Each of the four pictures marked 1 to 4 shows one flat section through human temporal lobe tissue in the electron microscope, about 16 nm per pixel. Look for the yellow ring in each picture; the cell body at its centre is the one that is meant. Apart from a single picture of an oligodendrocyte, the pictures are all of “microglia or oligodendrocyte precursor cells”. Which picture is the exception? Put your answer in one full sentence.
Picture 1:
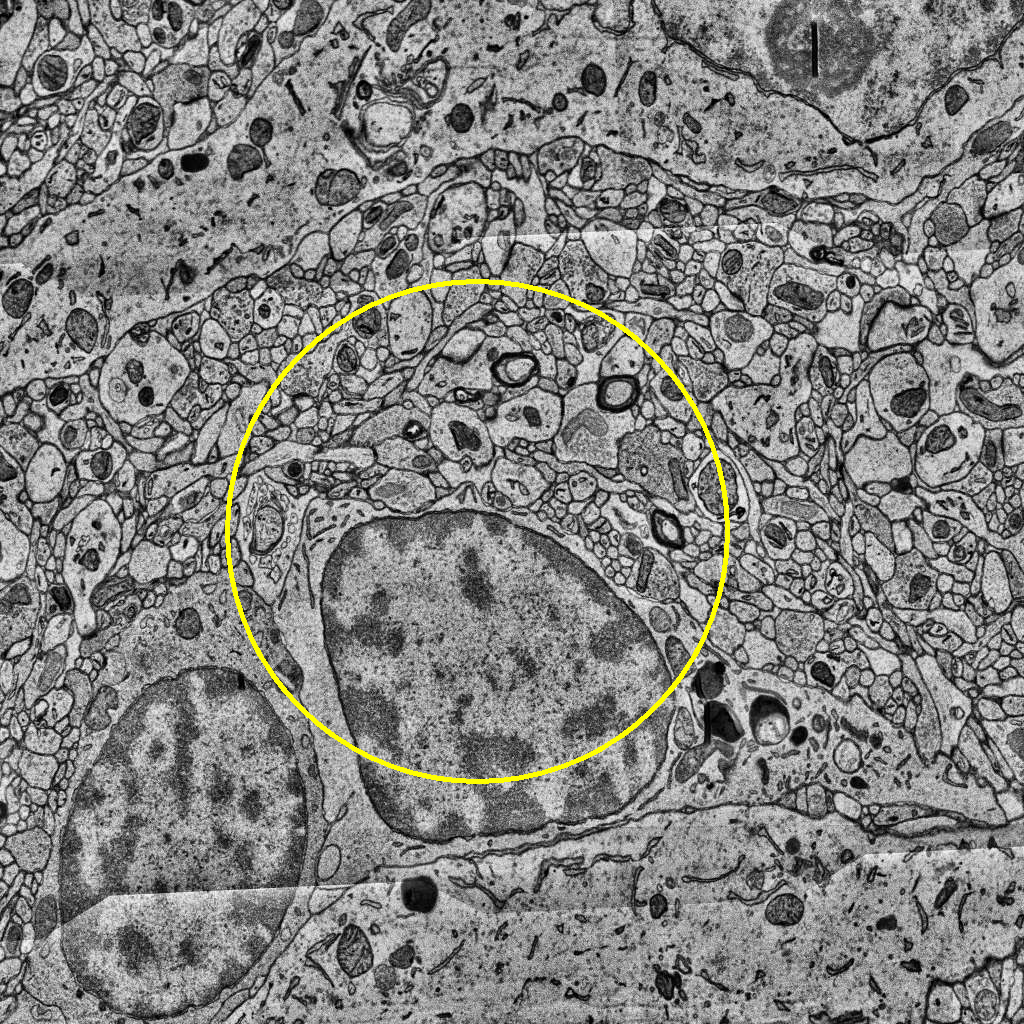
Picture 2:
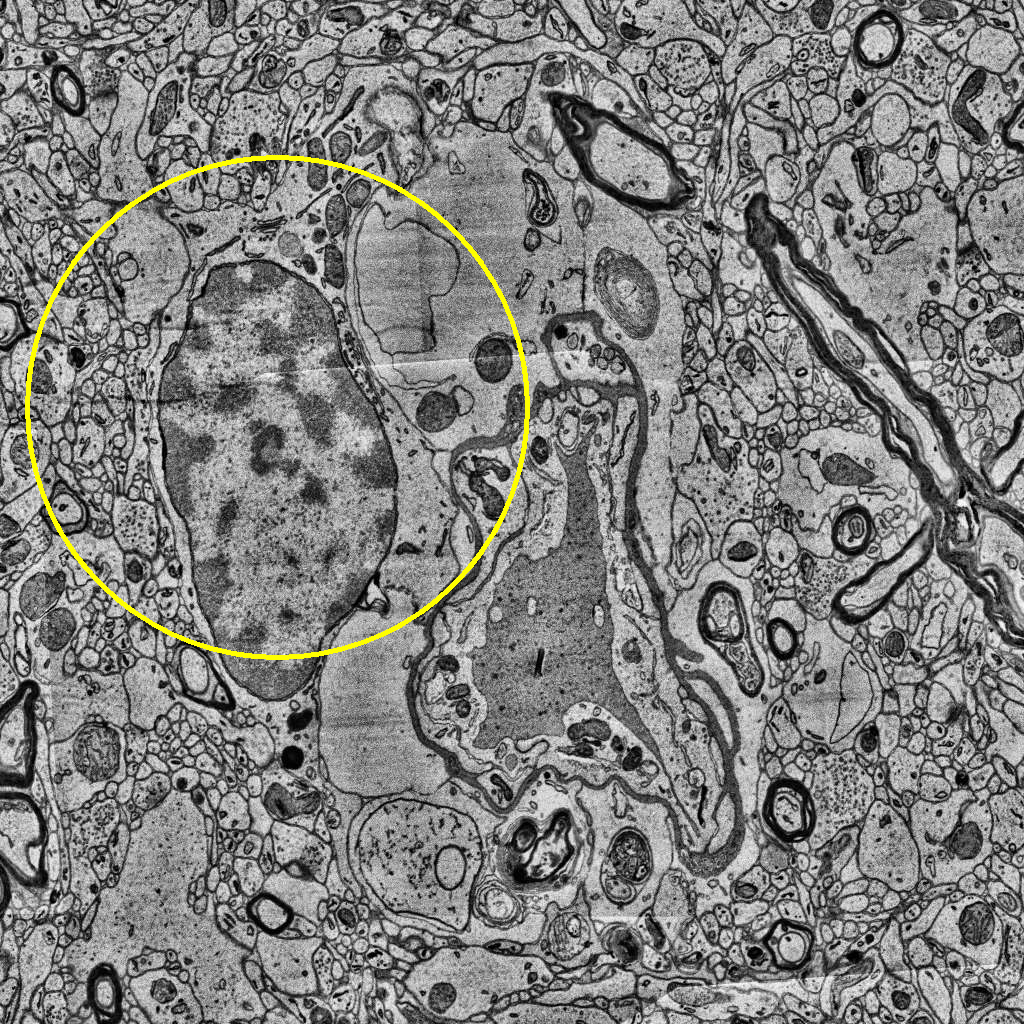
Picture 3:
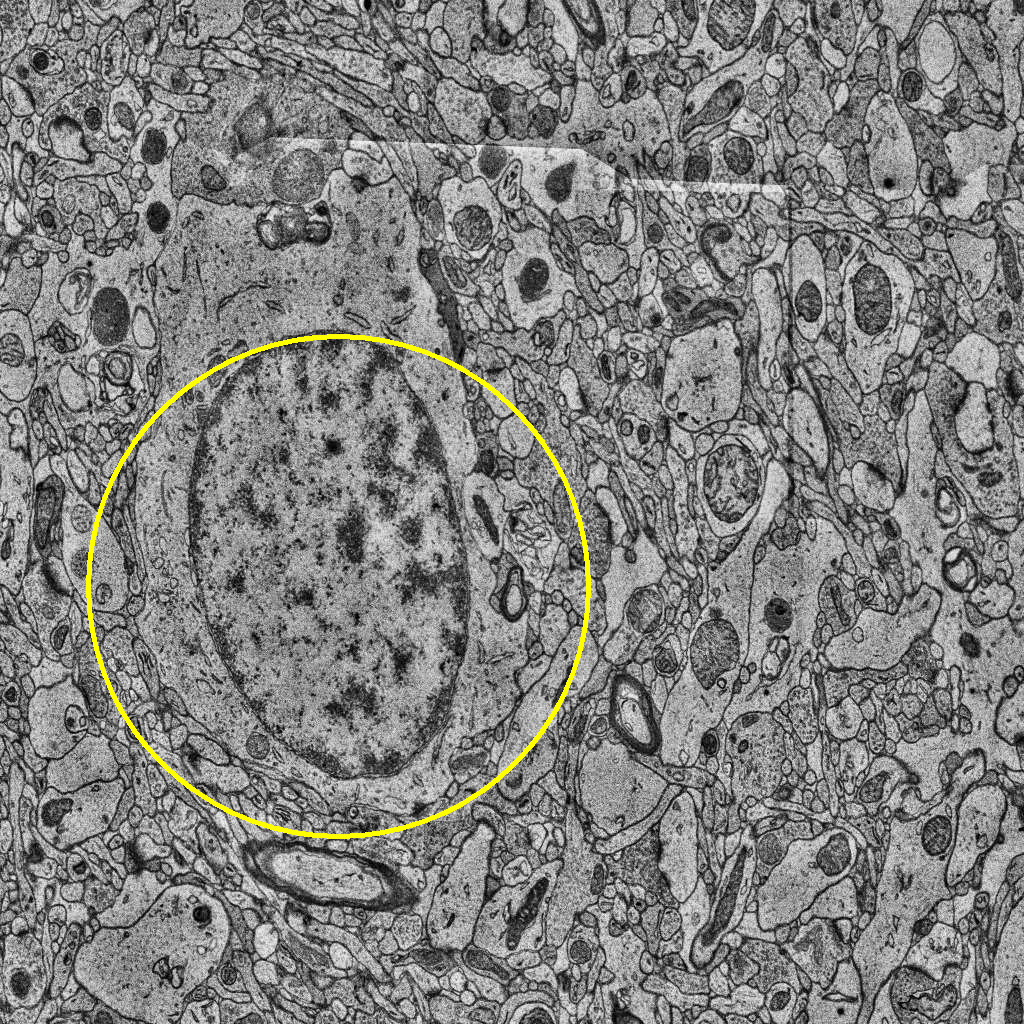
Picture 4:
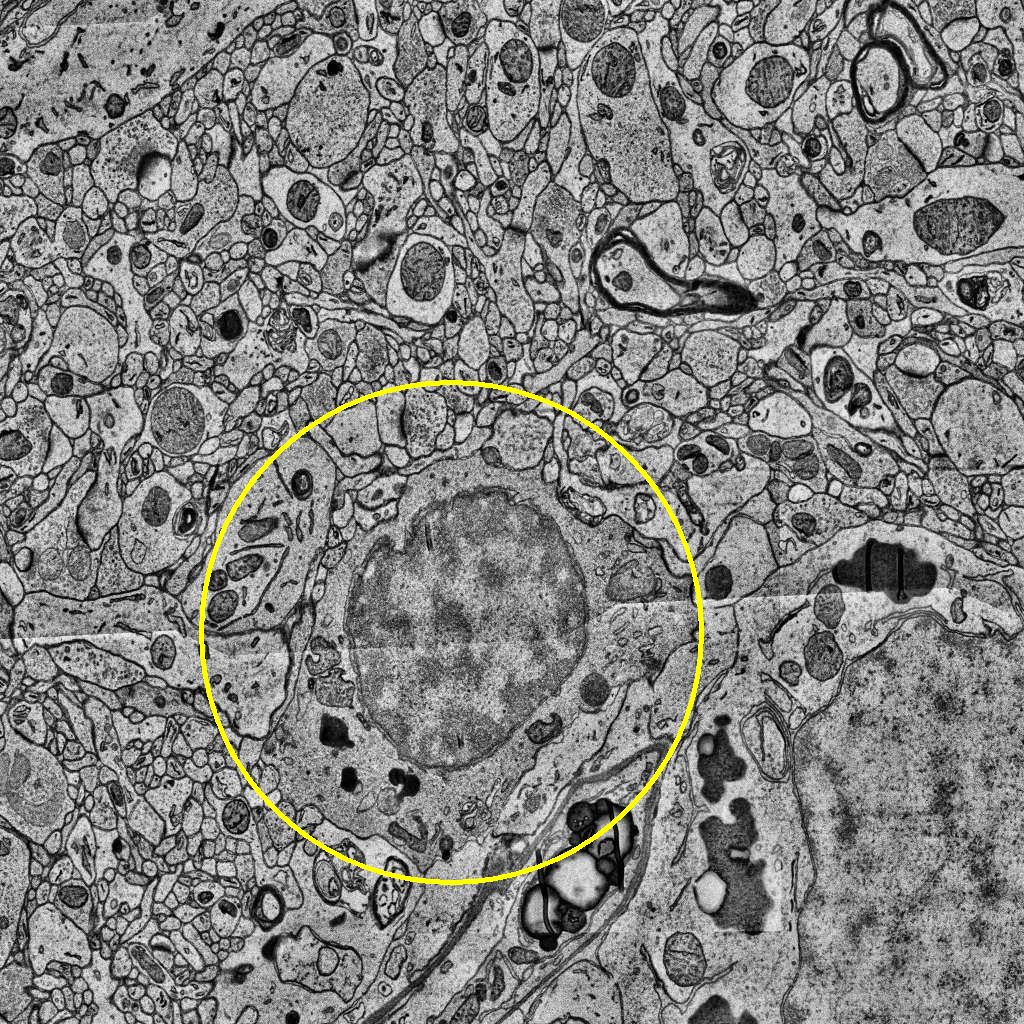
Picture 4 shows the oligodendrocyte.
